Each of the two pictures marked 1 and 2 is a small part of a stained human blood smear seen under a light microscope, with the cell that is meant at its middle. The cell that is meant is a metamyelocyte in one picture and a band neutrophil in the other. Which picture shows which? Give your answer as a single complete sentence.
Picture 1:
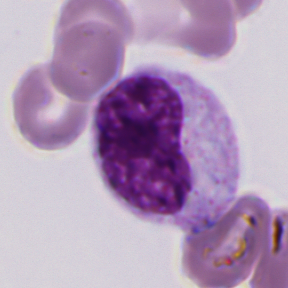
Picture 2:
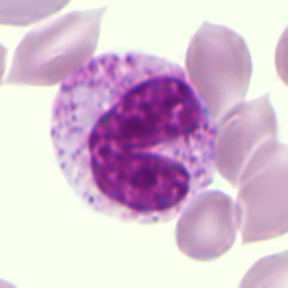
In picture 1 the cell is a metamyelocyte; in picture 2, a band neutrophil.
